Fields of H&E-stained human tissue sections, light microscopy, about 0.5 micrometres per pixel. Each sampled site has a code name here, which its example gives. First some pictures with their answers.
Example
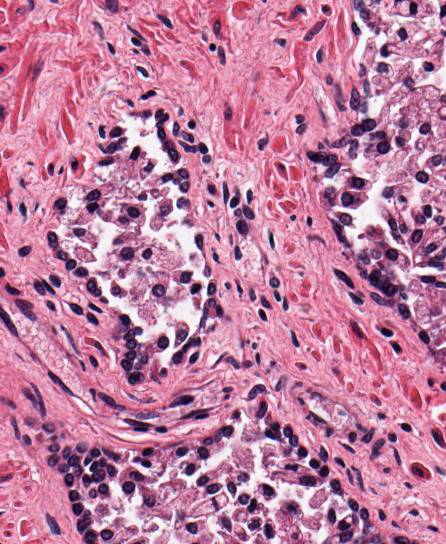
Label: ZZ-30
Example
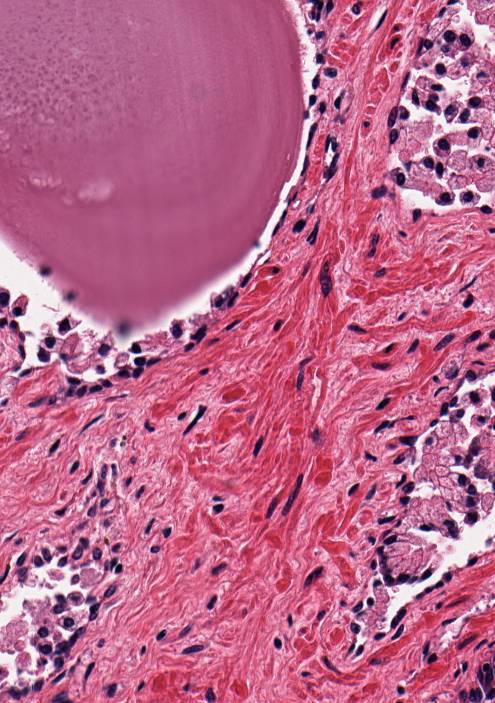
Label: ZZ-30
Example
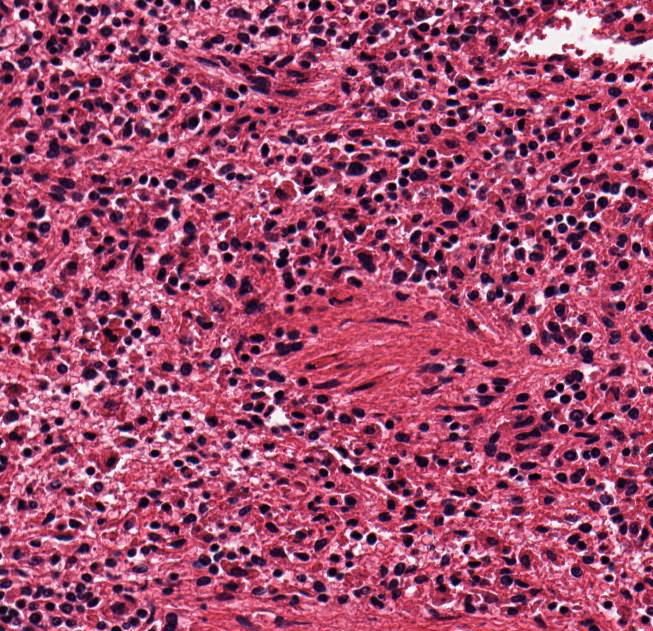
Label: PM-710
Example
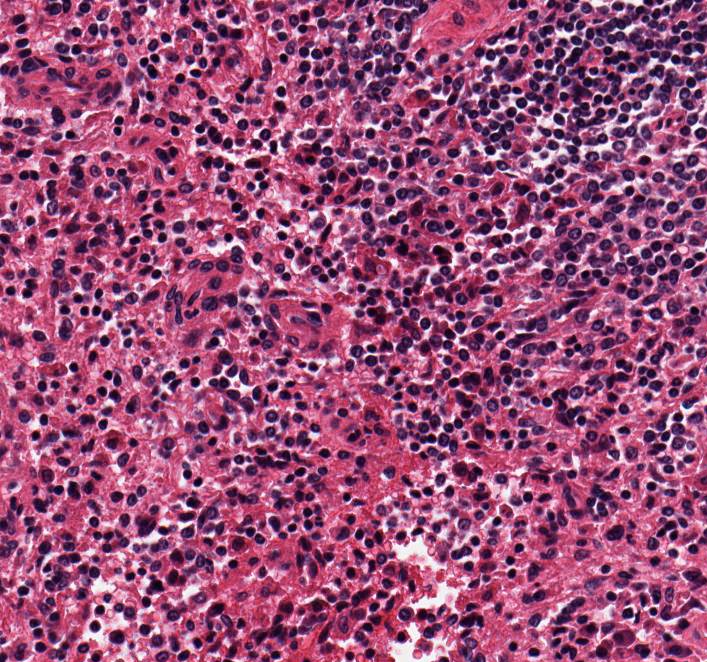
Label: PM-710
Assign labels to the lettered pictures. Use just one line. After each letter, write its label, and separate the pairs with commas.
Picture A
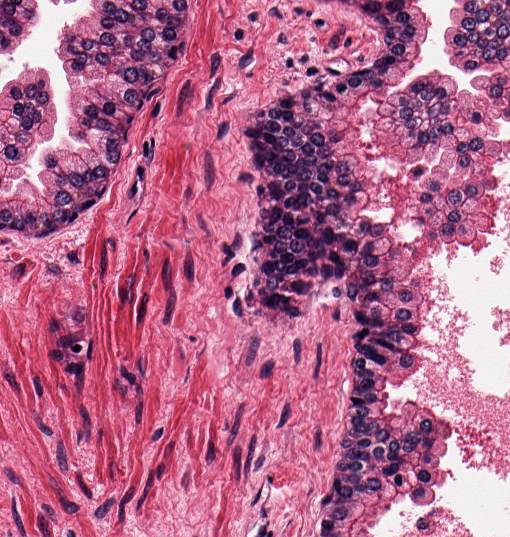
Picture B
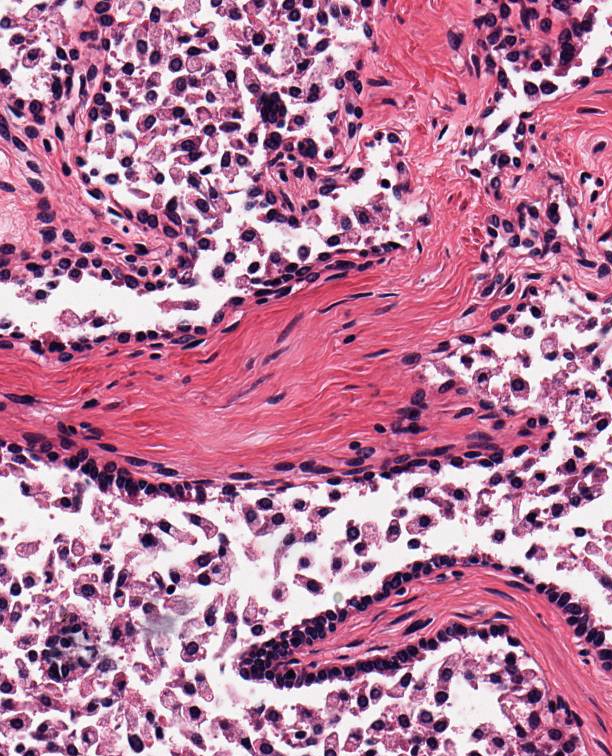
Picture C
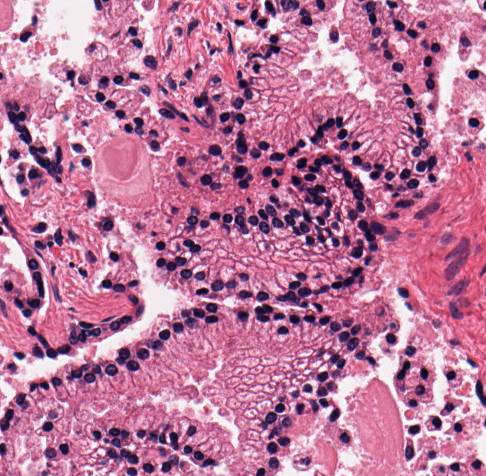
A ZZ-30, B ZZ-30, C ZZ-30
